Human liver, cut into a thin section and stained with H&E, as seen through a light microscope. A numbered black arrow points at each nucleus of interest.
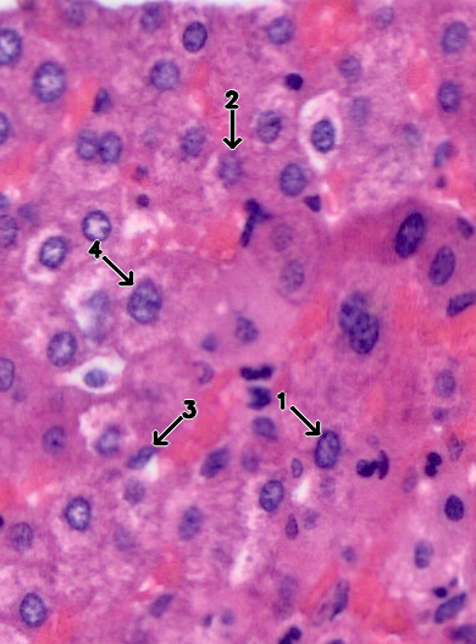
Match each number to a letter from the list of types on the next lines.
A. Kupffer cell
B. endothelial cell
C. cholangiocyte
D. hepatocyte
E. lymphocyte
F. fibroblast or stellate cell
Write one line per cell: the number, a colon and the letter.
1: D
2: D
3: B
4: D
